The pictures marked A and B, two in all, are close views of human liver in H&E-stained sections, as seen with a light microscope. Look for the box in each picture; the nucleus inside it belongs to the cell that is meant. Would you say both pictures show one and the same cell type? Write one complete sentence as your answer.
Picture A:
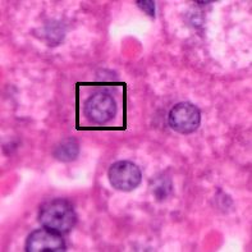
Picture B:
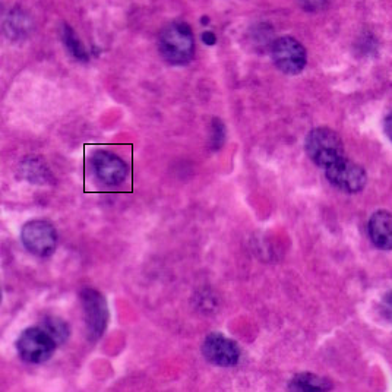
Yes, both are hepatocytes.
